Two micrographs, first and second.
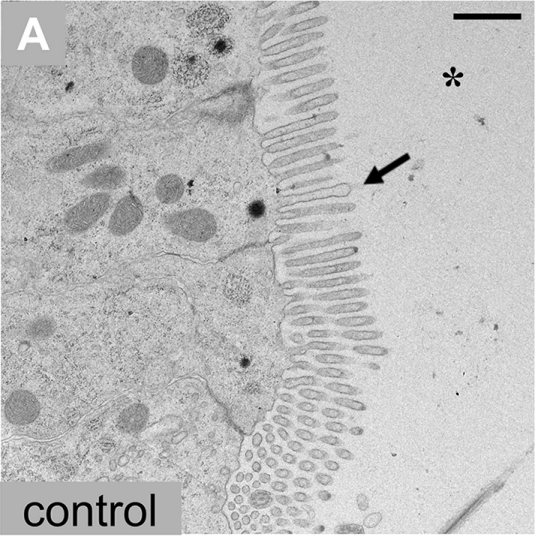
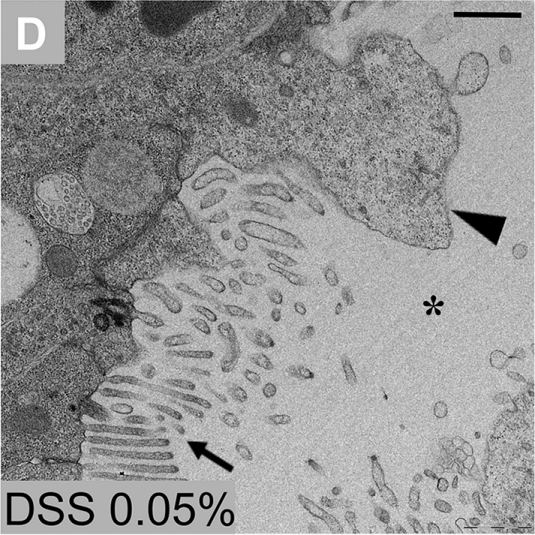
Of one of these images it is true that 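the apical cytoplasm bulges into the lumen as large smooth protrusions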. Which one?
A: The second image.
